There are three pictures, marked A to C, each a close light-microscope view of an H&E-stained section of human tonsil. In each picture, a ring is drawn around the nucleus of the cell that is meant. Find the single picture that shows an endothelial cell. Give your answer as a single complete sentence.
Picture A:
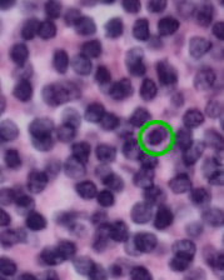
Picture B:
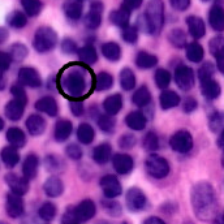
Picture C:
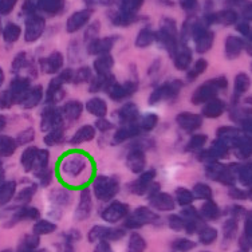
The endothelial cell is the one in picture C.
